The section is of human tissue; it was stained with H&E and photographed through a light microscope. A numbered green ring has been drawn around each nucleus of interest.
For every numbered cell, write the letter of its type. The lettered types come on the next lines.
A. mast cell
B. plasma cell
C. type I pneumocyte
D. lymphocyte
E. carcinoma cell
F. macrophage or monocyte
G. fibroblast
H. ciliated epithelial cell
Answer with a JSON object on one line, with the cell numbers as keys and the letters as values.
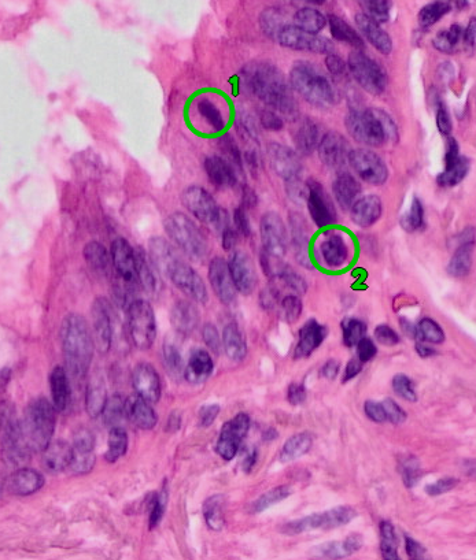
{"1": "H", "2": "D"}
